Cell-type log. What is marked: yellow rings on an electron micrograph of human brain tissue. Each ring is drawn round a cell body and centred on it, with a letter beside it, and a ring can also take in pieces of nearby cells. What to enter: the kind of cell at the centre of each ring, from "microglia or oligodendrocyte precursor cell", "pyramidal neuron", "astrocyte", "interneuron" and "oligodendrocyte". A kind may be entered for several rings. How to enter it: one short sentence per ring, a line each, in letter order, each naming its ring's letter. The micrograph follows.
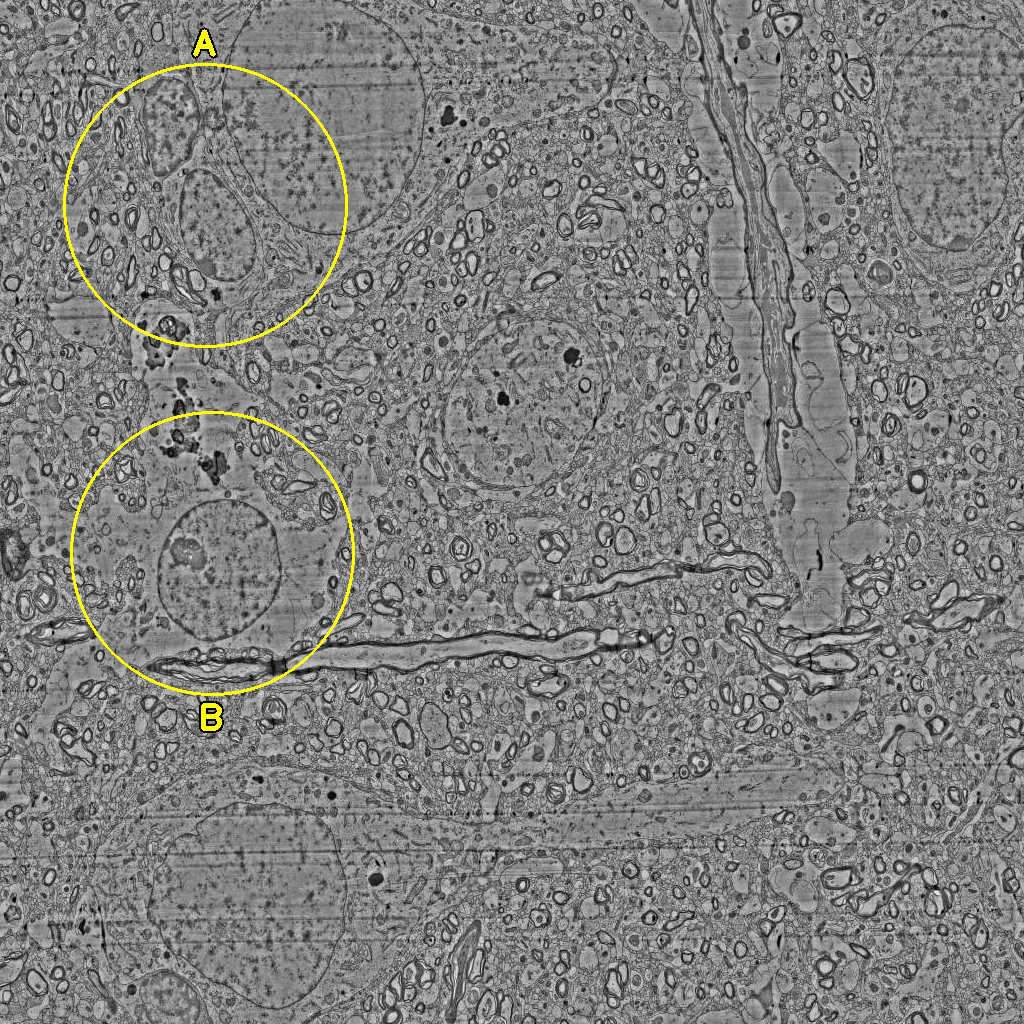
For ring A, the centre cell is a microglial cell or oligodendrocyte precursor cell.
For ring B, the centre cell is an astrocyte.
